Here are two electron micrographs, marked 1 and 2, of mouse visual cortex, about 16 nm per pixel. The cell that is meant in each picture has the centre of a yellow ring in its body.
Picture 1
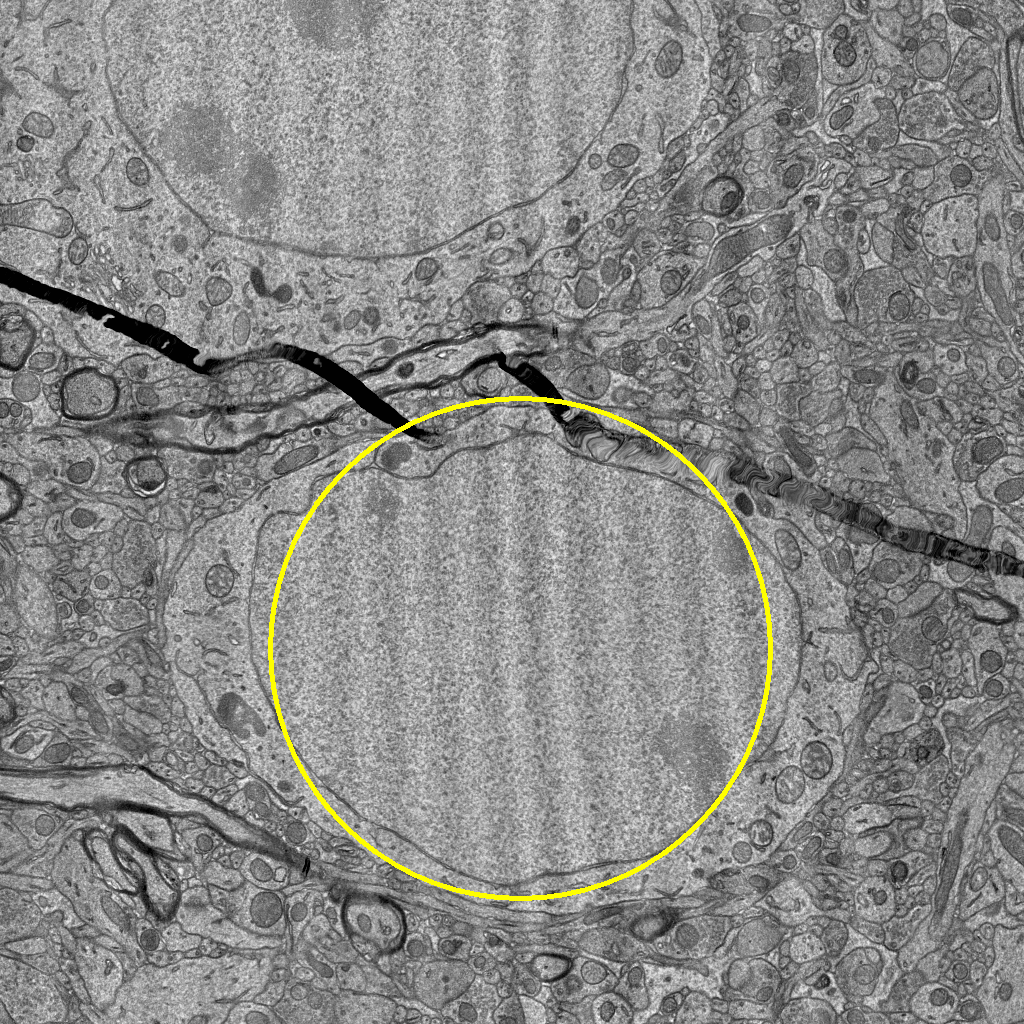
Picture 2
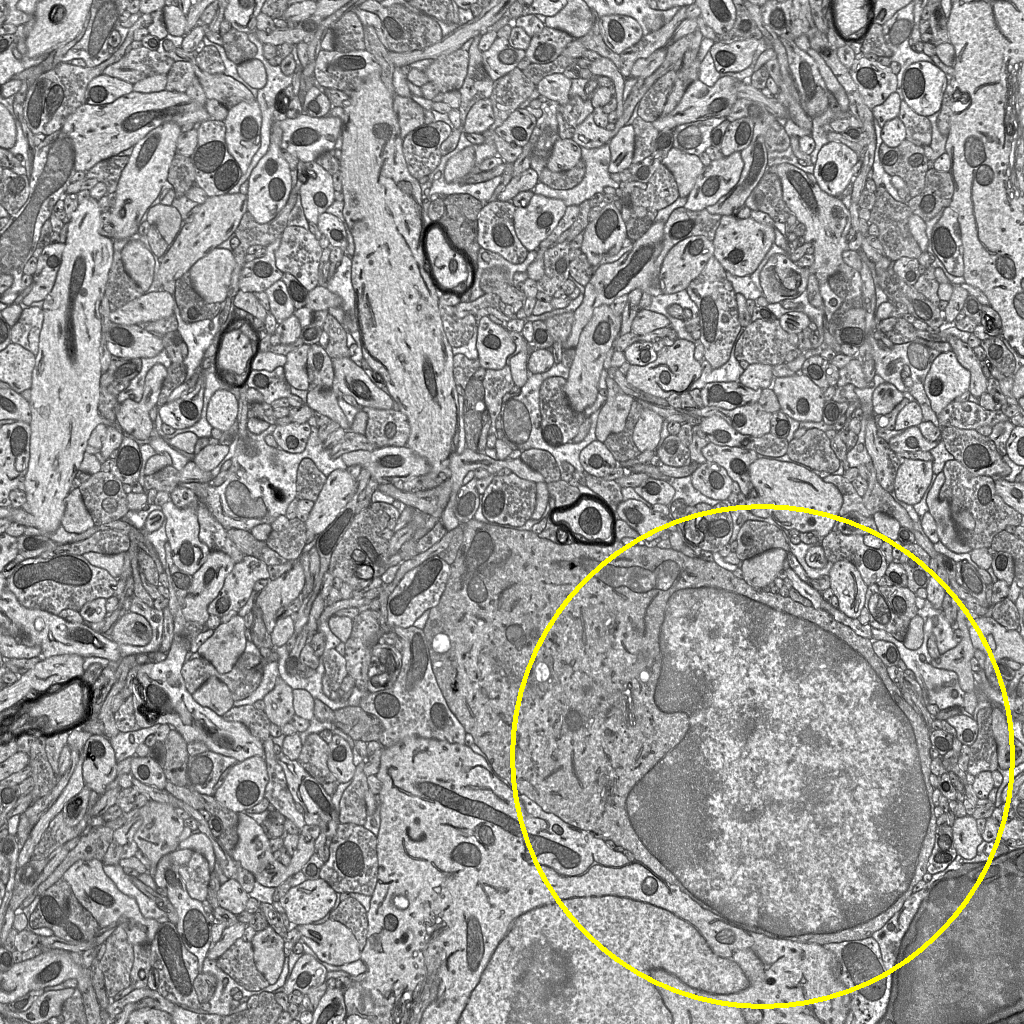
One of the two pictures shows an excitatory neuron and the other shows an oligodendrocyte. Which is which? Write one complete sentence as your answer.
In picture 1 the cell is an excitatory neuron; in picture 2, an oligodendrocyte.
